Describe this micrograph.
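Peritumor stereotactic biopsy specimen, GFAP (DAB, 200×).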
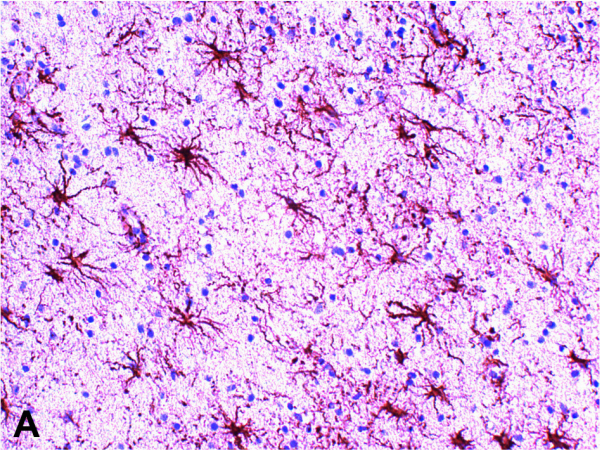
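Brain tissue with reactive astrocytes stands out as dark purple-brown, star-shaped cells spread at fairly regular distances through a pale, finely fibrillary background. Small blue nuclei of unstained cells are scattered between them.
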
